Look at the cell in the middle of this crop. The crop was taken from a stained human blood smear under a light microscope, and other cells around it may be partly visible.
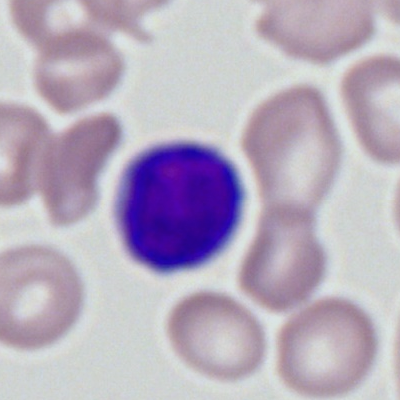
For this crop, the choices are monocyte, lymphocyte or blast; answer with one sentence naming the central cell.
This crop is built around a lymphocyte at its centre.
